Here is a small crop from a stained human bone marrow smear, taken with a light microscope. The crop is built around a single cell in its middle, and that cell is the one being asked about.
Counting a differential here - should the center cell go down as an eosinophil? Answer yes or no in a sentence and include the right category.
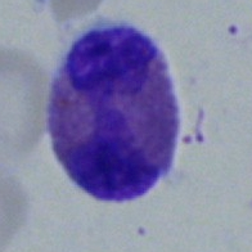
Yes, the central cell here is an eosinophil.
